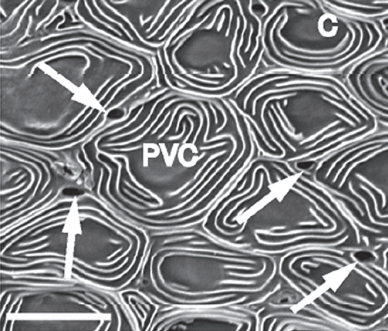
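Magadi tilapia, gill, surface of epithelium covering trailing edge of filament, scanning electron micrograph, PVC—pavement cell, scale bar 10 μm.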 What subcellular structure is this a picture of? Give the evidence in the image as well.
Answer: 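Each polygonal surface cell bears raised thin ridges. The ridges run in concentric loops around a smooth central area. On this evidence: micro-ridges.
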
